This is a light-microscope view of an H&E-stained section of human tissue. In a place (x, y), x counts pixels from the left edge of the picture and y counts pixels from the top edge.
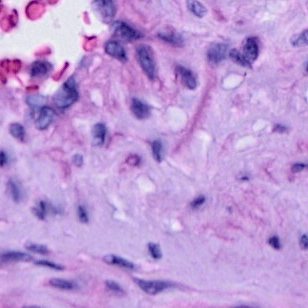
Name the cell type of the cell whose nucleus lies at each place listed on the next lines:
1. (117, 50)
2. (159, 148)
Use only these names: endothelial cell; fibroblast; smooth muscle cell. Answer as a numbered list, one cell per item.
1. endothelial cell
2. fibroblast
